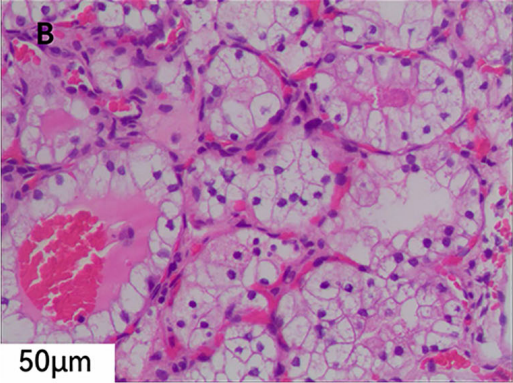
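This shows nests of tumor cells with abundant clear cytoplasm and distinct cell borders. Each nest is surrounded by a delicate network of thin capillaries lined by flattened cells, some containing red blood cells. A dilated space filled with red blood cells and pink material lies at the lower left. The tumor nuclei are small and round, and no dense fibrous stroma is seen between the nests.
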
